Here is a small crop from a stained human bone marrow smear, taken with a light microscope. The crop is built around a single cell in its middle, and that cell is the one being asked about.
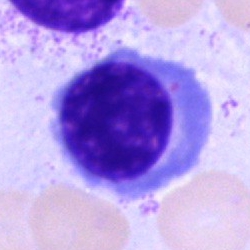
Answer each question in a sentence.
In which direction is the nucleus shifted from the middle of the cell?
Toward the left of the cell lies its nucleus.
